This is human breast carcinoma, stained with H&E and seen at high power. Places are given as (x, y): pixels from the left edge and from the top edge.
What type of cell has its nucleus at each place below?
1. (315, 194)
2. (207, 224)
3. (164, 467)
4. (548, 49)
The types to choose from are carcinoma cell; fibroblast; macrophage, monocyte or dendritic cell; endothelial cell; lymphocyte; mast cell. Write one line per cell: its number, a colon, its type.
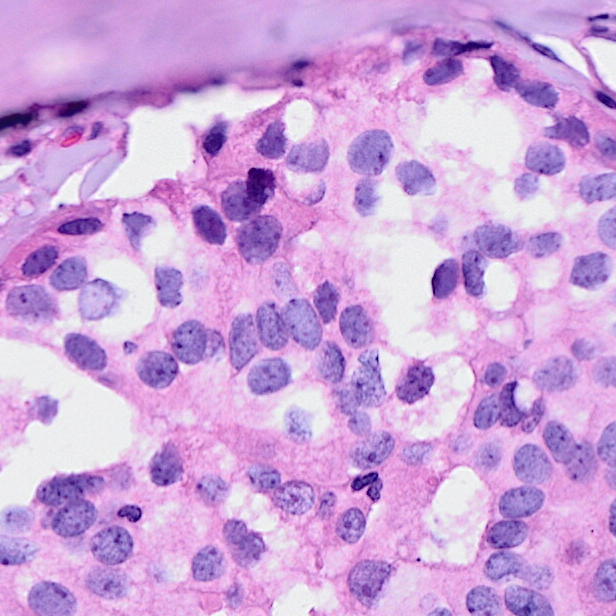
1: carcinoma cell
2: carcinoma cell
3: carcinoma cell
4: fibroblast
